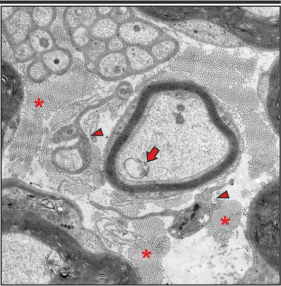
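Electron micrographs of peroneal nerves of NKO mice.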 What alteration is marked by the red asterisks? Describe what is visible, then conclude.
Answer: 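The asterisks lie on patches of densely packed fine dots between the nerve fibers. The dotted patches look like fibrils cut in cross-section filling the spaces between axons.
Accumulation of collagen.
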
